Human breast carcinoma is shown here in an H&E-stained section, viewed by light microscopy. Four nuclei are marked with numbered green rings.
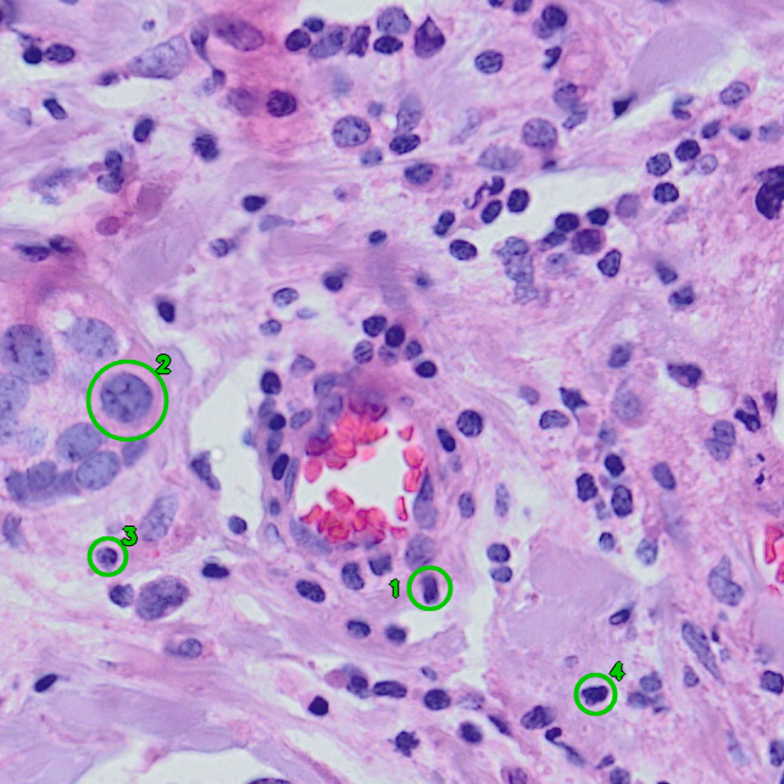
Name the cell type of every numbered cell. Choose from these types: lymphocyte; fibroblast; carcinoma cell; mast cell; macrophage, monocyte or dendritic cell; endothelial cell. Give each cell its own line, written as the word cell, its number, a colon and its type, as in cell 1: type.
cell 1: lymphocyte
cell 2: carcinoma cell
cell 3: lymphocyte
cell 4: lymphocyte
